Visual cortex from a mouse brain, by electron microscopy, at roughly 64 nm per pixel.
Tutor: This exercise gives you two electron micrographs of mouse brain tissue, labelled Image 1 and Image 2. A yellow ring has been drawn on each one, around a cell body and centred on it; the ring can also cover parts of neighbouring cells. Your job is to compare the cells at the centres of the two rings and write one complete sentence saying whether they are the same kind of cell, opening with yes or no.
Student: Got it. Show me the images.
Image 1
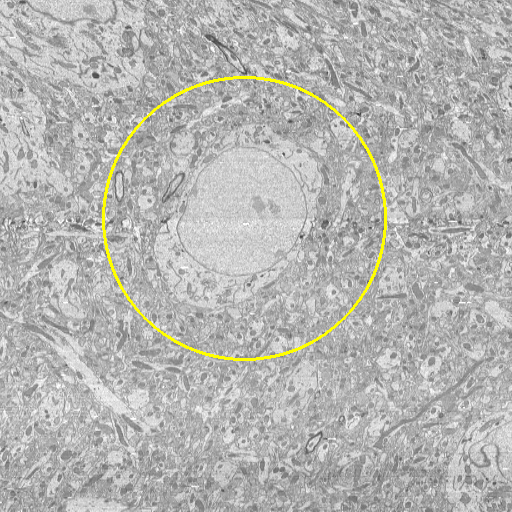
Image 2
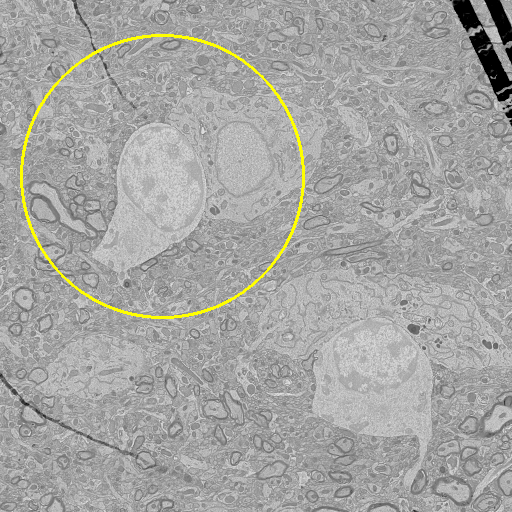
No, the two cells belong to two kinds.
